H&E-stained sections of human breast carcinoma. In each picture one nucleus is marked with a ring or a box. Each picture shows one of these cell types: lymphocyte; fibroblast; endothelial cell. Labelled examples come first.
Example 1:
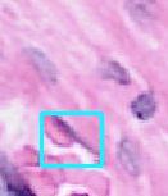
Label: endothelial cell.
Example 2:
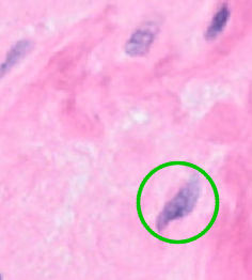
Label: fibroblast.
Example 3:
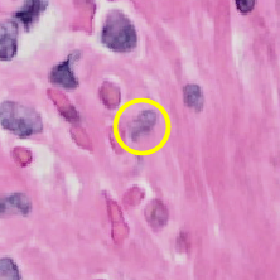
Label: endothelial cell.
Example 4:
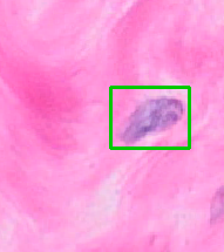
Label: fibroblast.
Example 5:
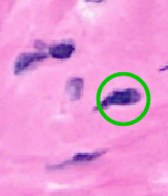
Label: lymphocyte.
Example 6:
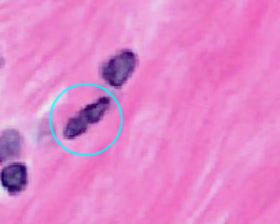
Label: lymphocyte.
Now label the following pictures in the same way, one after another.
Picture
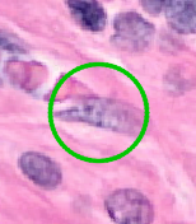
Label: endothelial cell.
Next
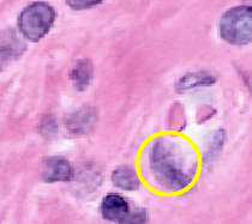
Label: endothelial cell.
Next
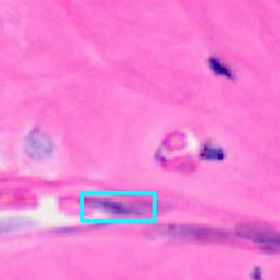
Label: endothelial cell.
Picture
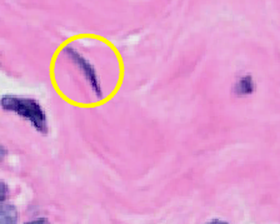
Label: fibroblast.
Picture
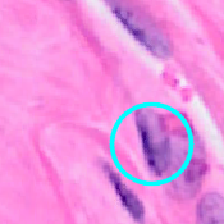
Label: endothelial cell.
